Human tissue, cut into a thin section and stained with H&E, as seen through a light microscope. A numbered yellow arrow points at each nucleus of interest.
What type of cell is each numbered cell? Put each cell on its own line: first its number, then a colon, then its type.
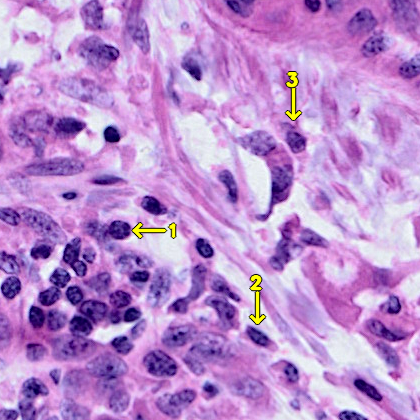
1: lymphocyte
2: lymphocyte
3: macrophage or monocyte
